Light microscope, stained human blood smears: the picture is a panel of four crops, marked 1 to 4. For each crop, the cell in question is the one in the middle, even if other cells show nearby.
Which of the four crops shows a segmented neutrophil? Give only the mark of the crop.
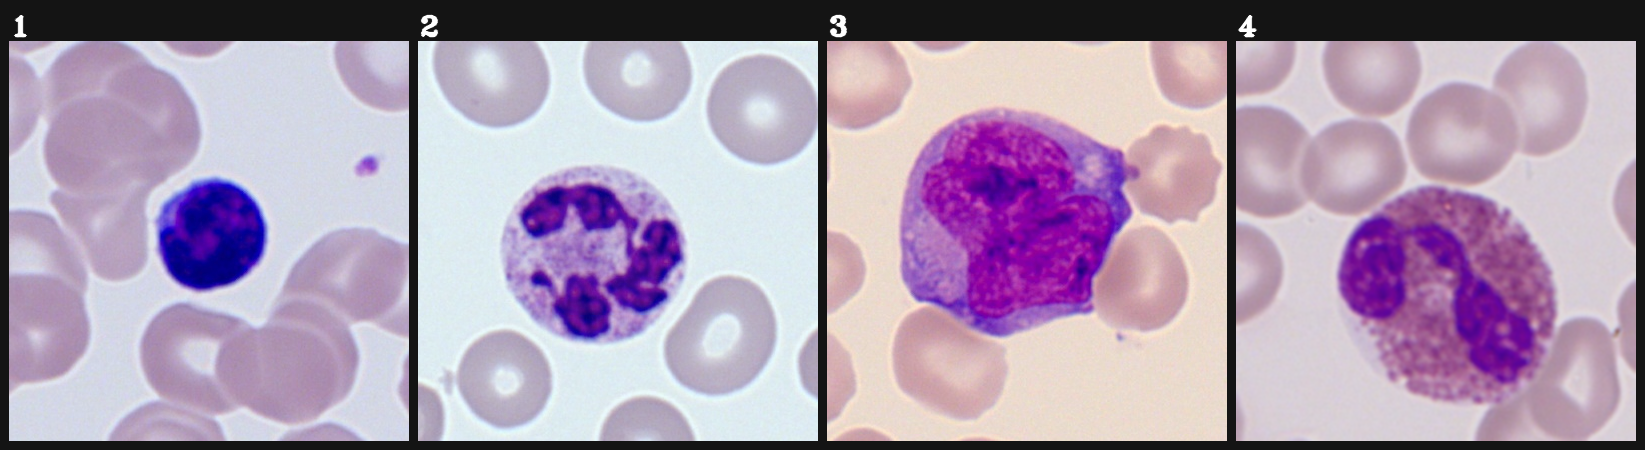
2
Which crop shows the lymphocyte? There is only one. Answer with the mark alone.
1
